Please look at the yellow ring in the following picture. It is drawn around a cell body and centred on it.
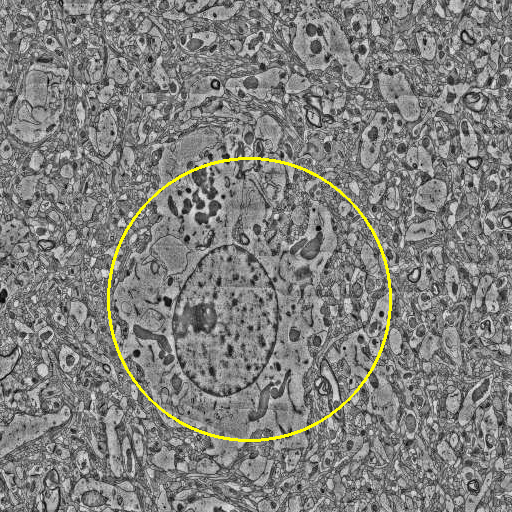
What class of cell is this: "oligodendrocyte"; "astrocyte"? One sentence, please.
The ring surrounds the cell body of an astrocyte.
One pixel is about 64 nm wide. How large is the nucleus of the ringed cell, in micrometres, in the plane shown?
In this plane the nucleus spans approximately 10 by 7 micrometers.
